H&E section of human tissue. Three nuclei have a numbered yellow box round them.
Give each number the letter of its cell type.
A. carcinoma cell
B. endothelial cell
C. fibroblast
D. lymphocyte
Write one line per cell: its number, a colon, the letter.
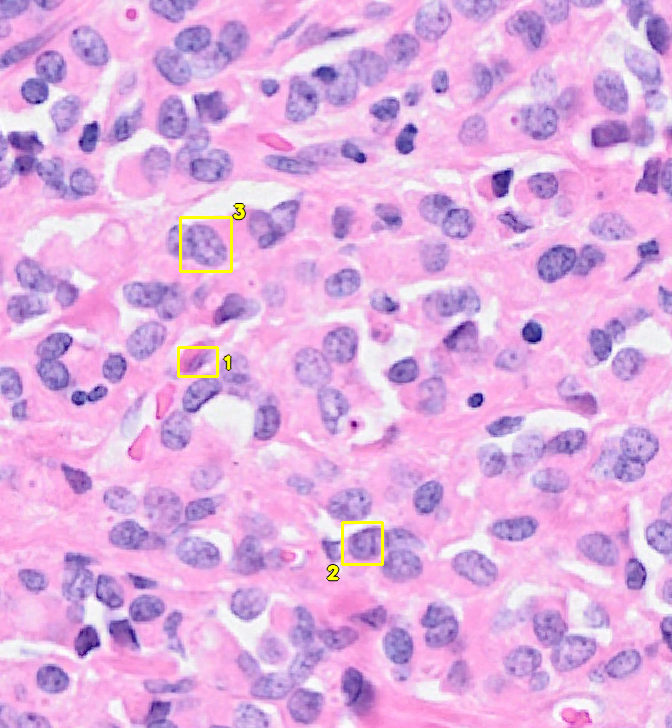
1: B
2: A
3: A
